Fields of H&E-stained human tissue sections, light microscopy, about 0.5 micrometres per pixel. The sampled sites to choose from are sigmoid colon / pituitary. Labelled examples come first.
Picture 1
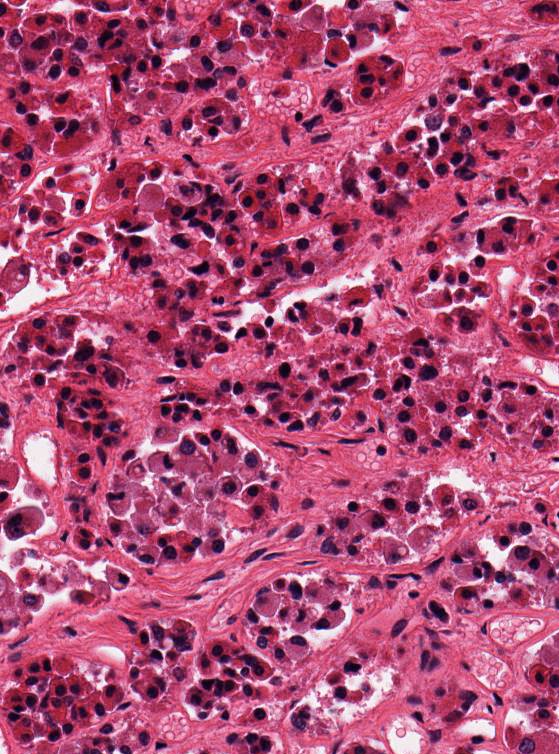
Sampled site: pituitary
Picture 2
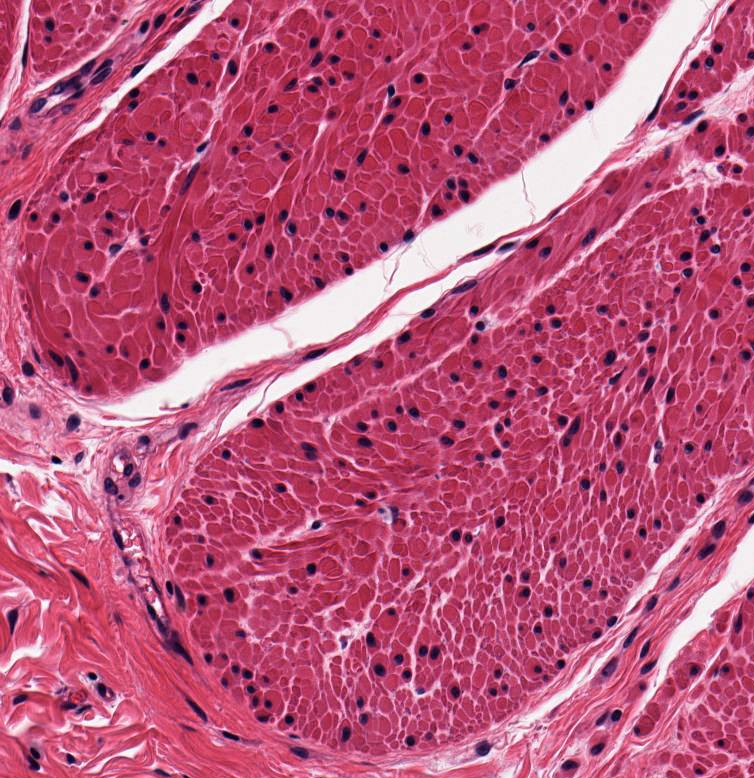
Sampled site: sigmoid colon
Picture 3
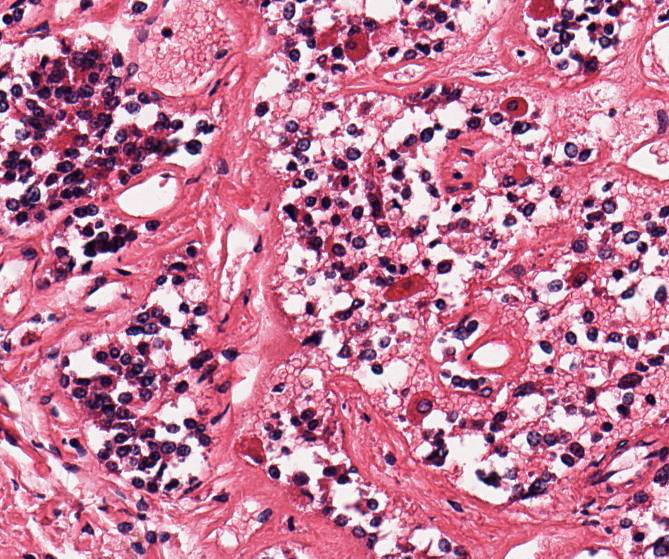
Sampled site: pituitary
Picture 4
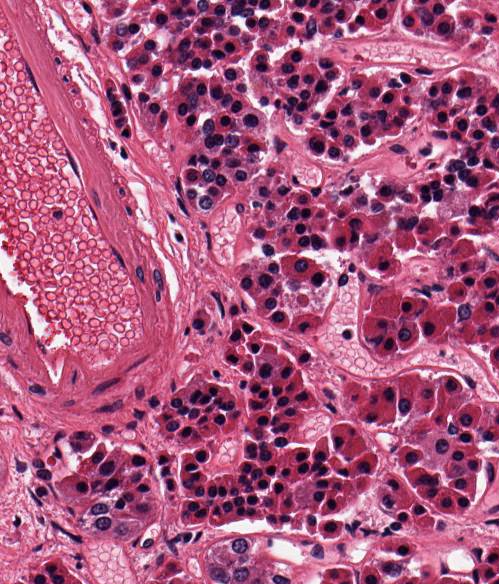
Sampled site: pituitary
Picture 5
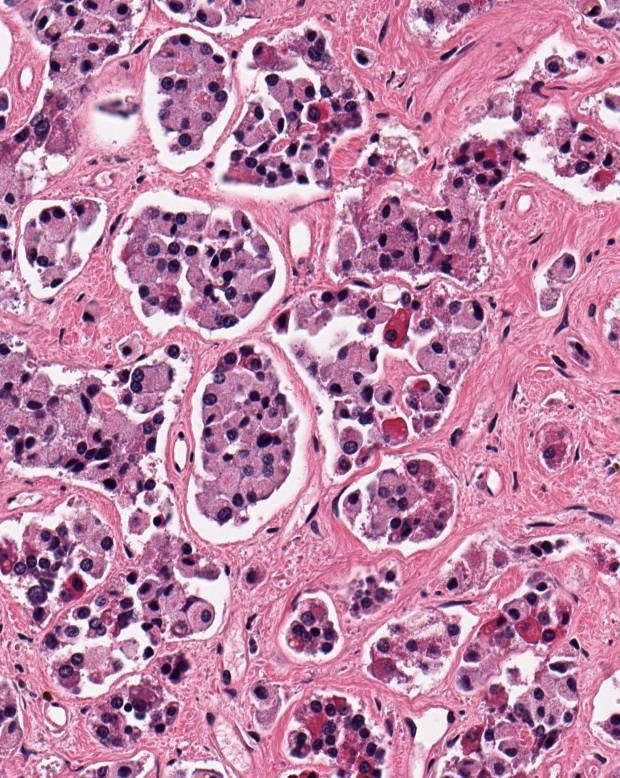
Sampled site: pituitary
